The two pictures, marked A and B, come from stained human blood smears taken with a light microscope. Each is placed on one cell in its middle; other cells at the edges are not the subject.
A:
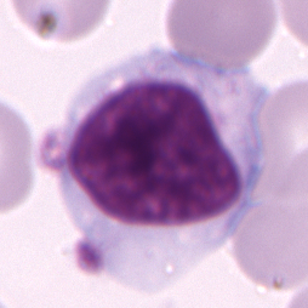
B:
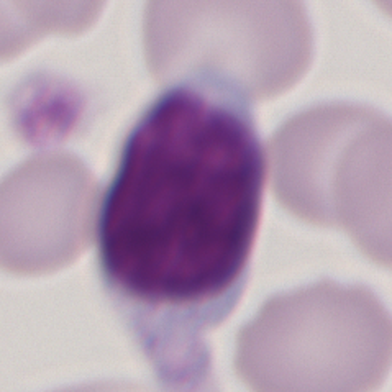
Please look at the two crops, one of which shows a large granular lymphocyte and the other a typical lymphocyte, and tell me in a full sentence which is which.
It is a large granular lymphocyte that crop A shows, and a typical lymphocyte that crop B shows.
